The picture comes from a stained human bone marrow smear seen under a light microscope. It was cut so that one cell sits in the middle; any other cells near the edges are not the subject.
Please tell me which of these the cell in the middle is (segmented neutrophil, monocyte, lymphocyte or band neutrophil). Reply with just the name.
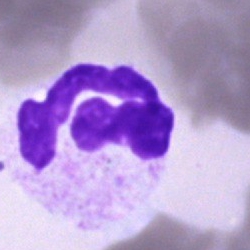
segmented neutrophil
